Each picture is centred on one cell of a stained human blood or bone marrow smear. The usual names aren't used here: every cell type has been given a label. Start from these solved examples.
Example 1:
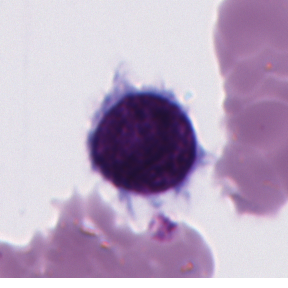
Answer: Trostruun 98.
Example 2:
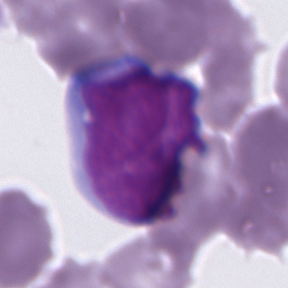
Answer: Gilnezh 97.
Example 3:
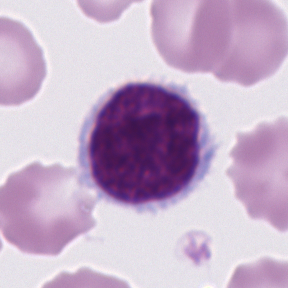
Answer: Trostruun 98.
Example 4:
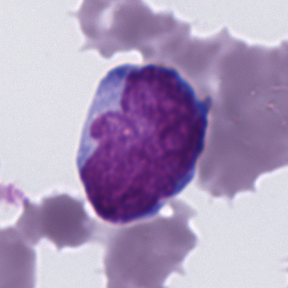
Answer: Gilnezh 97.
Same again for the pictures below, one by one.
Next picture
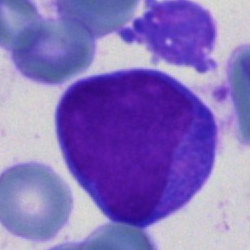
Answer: Gilnezh 97.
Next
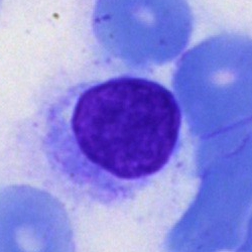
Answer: Trostruun 98.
